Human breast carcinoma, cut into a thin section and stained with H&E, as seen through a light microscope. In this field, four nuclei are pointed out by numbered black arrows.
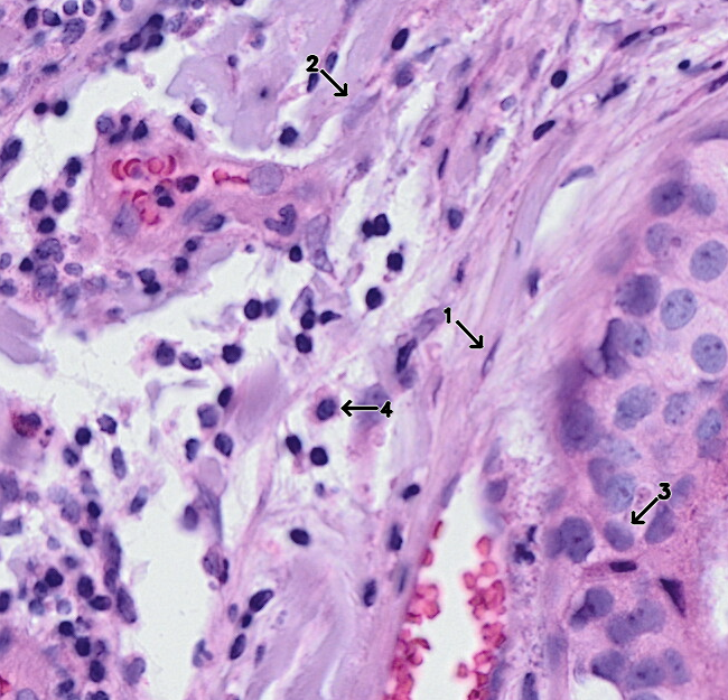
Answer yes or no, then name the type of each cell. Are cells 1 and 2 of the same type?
Yes, both are fibroblasts.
